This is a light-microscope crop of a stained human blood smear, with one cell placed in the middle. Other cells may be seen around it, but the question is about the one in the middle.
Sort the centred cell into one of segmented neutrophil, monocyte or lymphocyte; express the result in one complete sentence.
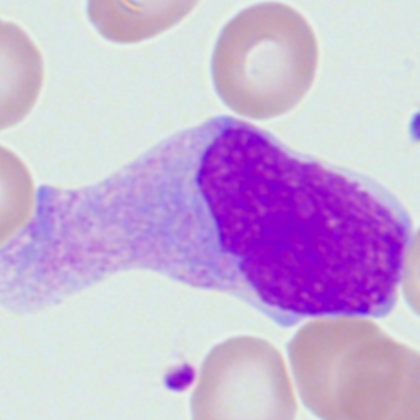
The cell marked by its central position in the crop is a monocyte.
